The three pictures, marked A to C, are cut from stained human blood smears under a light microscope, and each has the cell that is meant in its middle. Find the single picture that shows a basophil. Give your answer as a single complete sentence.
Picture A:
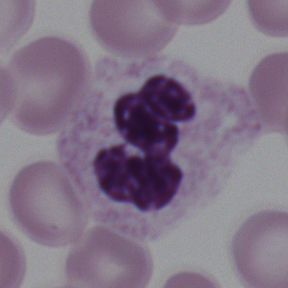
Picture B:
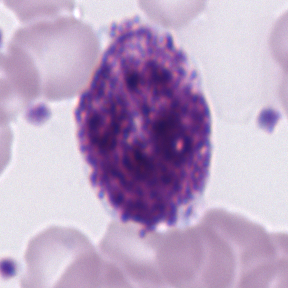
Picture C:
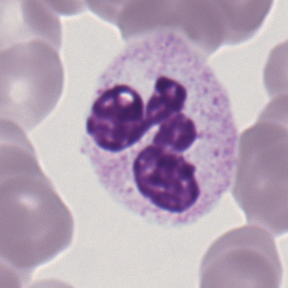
The basophil is the one in picture B.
